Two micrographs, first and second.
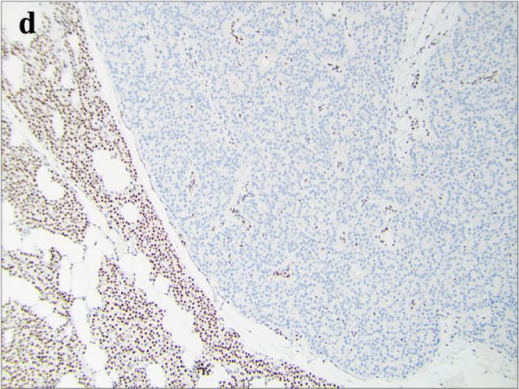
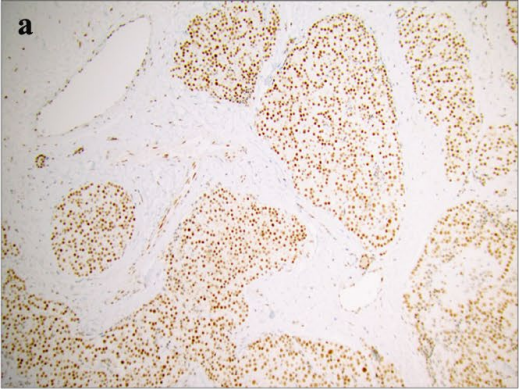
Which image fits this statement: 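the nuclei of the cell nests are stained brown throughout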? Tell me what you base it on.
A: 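The second image. First image: the large cell mass has blue nuclei, brown only in a rim at the left and scattered stromal nuclei. Second image: nearly every nucleus in the cell nests is brown.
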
